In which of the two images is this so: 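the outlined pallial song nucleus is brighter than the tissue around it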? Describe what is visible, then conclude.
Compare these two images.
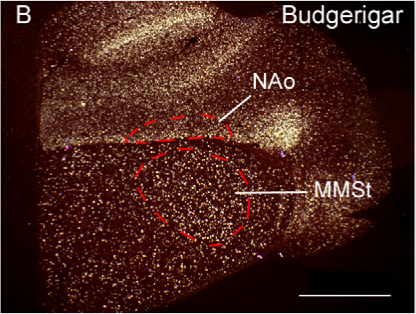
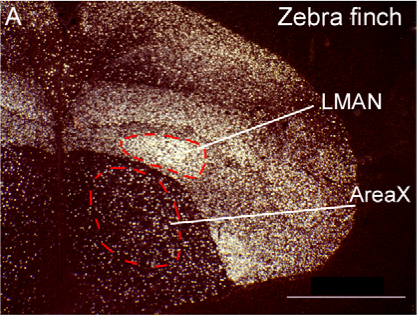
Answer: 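The second image. First image: the upper outlined nucleus is about as bright as the surrounding pallium, with no distinct bright patch. Second image: the upper outlined nucleus stands out as a dense bright patch against the dimmer surrounding pallium.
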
